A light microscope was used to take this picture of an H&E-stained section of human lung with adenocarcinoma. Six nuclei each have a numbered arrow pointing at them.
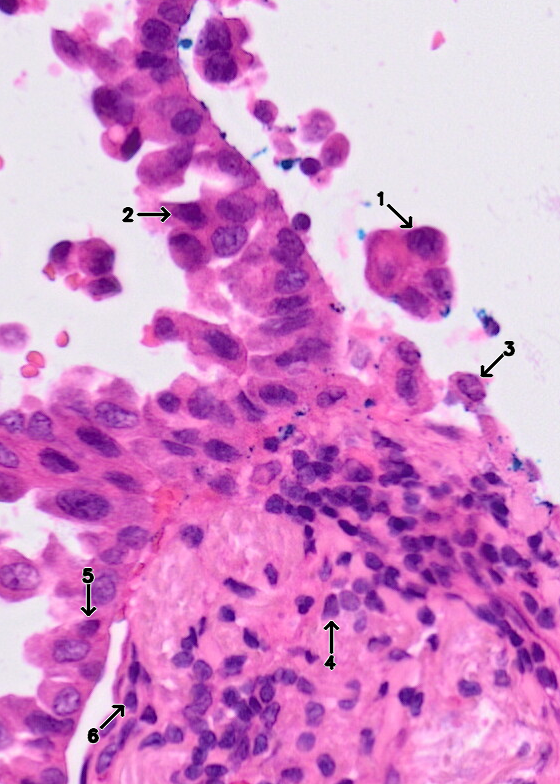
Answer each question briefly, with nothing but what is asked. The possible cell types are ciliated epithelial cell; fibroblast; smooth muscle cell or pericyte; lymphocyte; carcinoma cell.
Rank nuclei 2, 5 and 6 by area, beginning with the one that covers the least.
6, 5, 2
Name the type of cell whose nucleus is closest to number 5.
carcinoma cell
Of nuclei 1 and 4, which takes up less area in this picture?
4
